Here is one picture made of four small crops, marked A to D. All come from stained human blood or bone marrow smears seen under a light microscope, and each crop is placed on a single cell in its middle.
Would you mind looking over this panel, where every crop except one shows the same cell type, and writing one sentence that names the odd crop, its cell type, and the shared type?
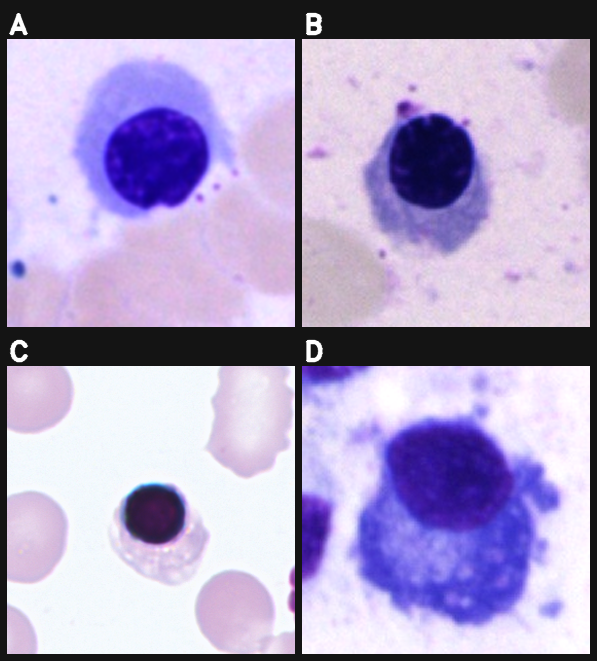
Crop D stands apart from the rest as a plasma cell, the others all being normoblasts.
